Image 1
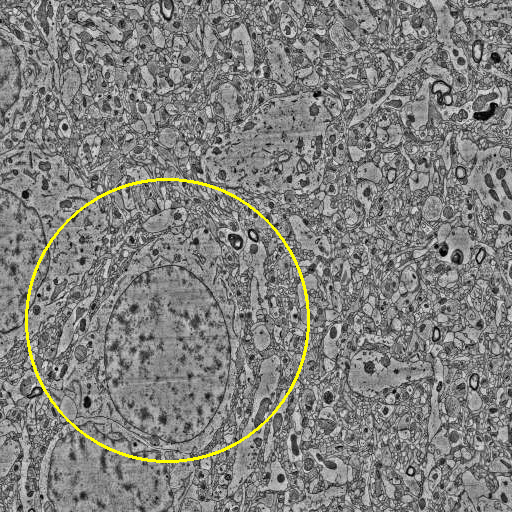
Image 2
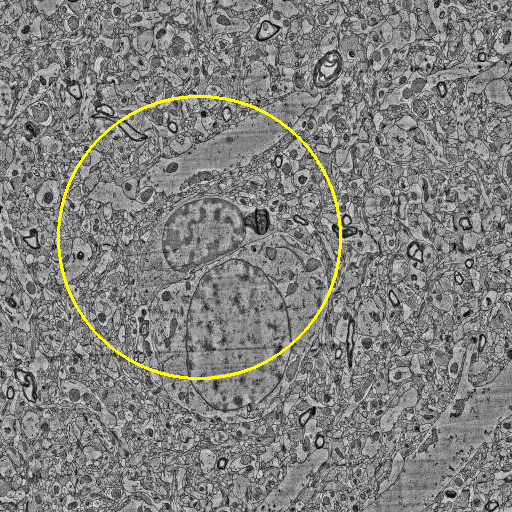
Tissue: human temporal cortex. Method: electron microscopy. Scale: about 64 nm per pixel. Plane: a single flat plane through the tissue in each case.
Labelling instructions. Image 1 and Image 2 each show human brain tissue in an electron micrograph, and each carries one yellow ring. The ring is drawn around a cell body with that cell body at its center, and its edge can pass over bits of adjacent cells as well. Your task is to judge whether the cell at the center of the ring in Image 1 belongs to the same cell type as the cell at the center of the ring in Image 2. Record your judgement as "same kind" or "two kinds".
two kinds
